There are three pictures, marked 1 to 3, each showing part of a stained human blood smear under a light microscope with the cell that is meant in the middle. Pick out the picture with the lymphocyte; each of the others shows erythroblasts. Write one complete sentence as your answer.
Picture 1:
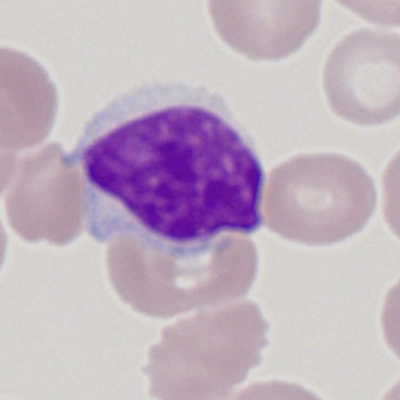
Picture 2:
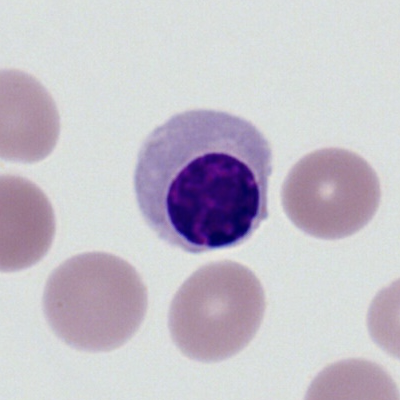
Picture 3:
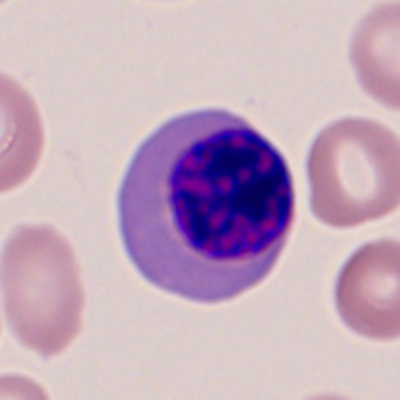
The picture with the lymphocyte is 1.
